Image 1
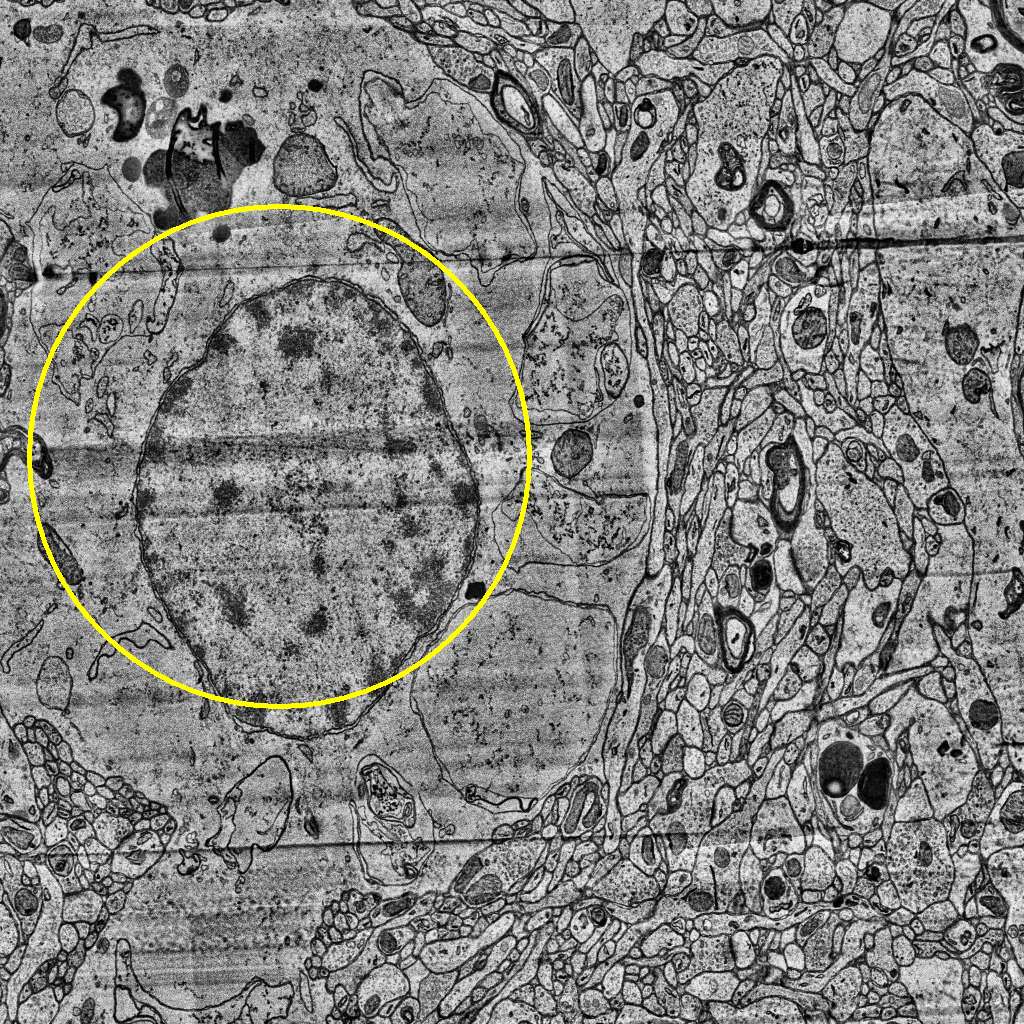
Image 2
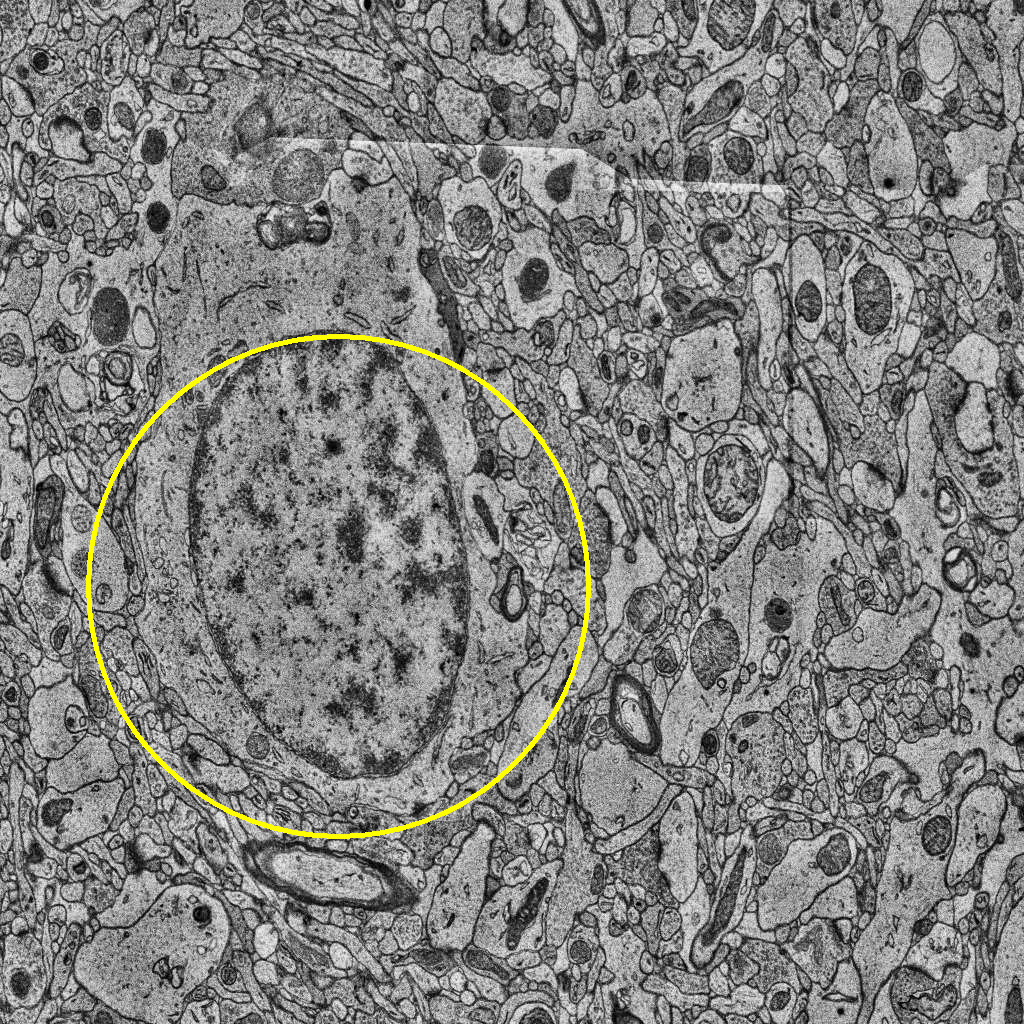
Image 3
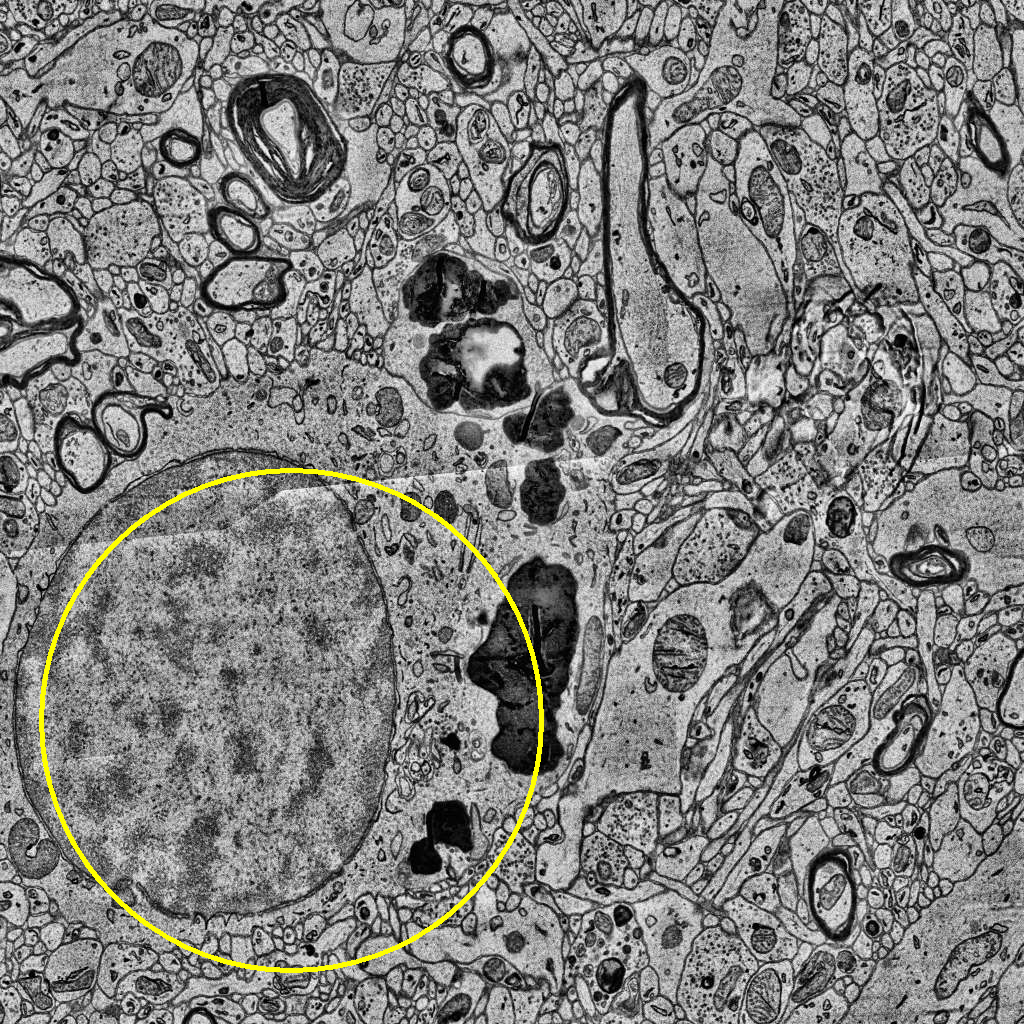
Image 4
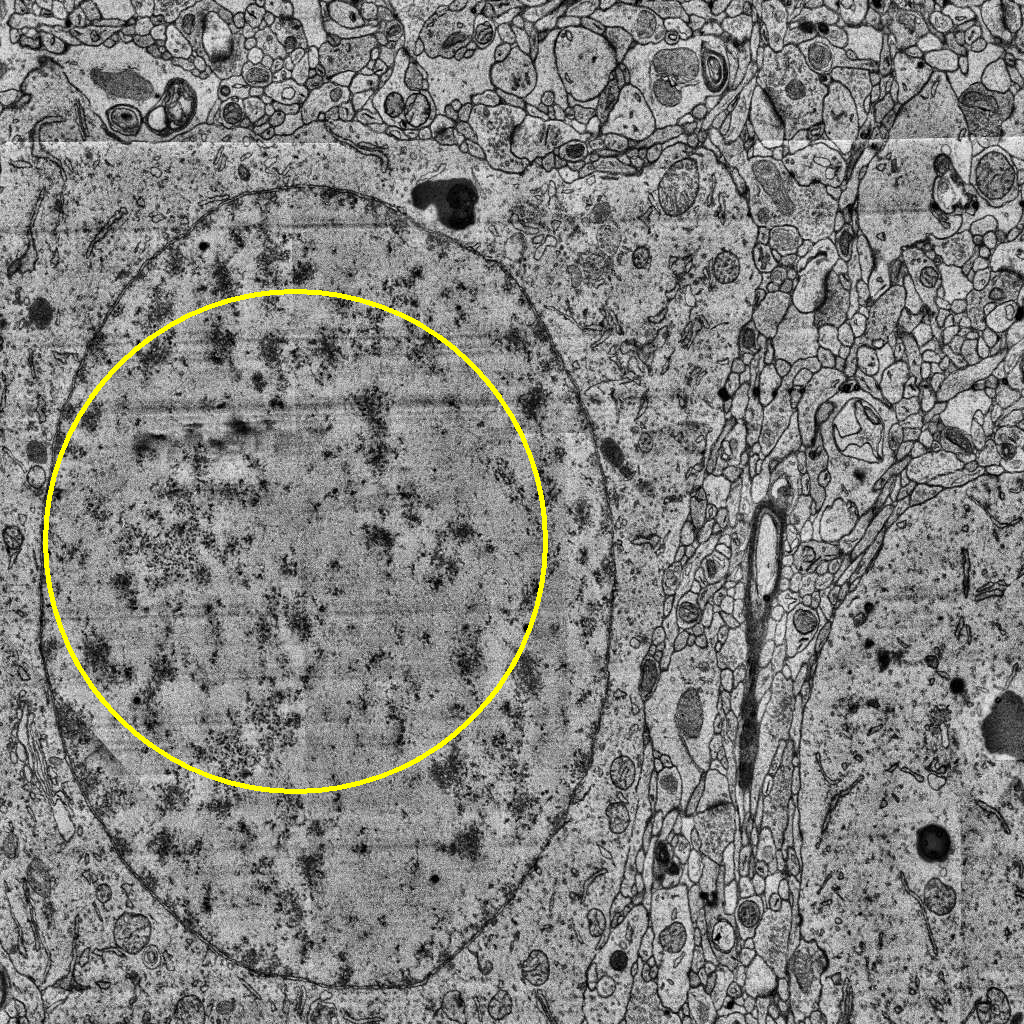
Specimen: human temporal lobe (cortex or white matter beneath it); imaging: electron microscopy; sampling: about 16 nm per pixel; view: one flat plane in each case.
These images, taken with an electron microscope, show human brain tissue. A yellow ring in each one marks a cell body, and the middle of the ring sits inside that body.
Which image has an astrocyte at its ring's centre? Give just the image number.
1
